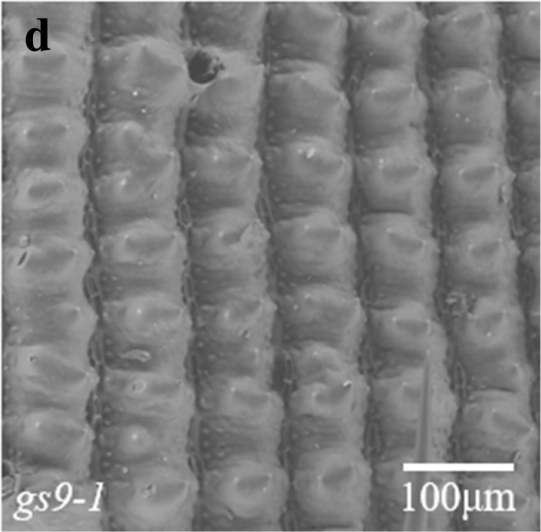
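Outer surface of the grain glume epidermis, showing epidermal cells in regular parallel longitudinal rows divided by narrow grooves. The cells bulge outward as rounded units set end to end along each row; a small pit breaks the surface near the top.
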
